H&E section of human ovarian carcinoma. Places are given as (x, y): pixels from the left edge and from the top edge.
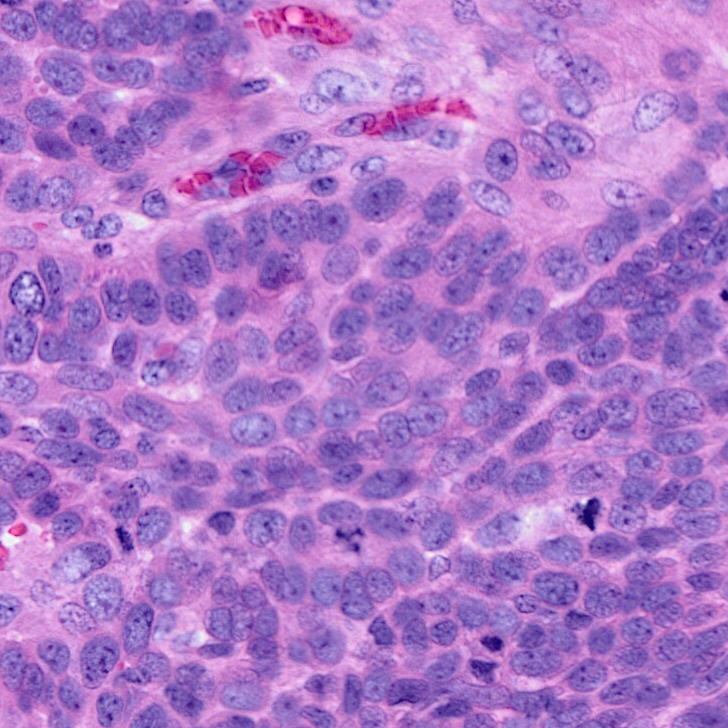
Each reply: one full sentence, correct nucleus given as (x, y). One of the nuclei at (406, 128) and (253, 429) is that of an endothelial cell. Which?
It is the nucleus at (406, 128), not the other one, that belongs to an endothelial cell.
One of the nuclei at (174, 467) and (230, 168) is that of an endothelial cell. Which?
The nucleus at (230, 168) is the member of the pair belonging to an endothelial cell.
